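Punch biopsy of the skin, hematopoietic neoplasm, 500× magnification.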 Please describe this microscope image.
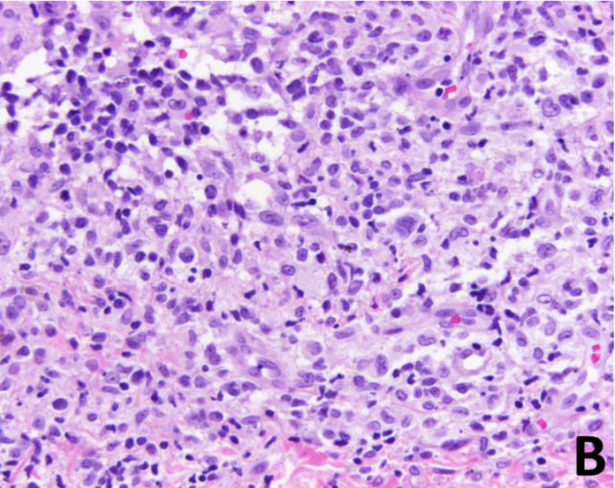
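A dense sheet of medium-sized cells fills the field, with pale open chromatin, round to bean-shaped and folded nuclei, and a moderate amount of pale pink cytoplasm. Scattered among them are many small cells with round, dark, compact nuclei and little cytoplasm, and a few red blood cells.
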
